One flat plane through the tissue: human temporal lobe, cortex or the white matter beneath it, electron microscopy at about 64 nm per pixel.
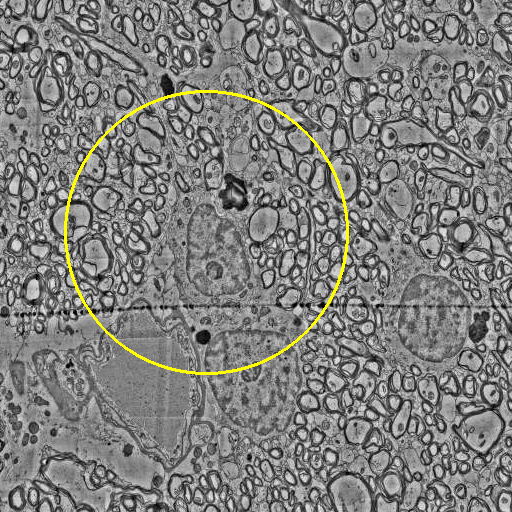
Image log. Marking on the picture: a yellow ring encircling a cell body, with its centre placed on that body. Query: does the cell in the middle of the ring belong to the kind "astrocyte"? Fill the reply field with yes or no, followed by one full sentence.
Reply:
No, the cell at the centre of the yellow ring in this picture belongs to a different kind.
